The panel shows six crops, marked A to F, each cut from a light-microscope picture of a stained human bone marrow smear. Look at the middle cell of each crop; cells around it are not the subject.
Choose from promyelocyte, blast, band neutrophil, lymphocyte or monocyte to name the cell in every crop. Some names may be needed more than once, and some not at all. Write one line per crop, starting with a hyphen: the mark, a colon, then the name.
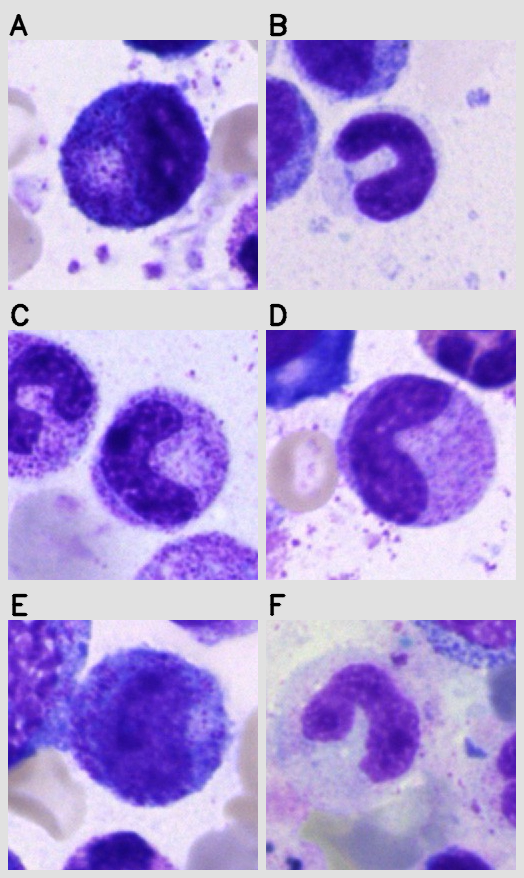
- A: promyelocyte
- B: band neutrophil
- C: band neutrophil
- D: band neutrophil
- E: promyelocyte
- F: band neutrophil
